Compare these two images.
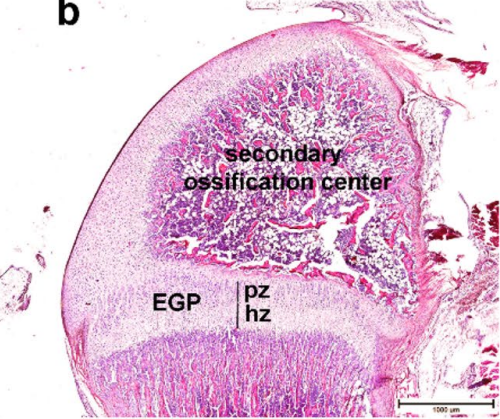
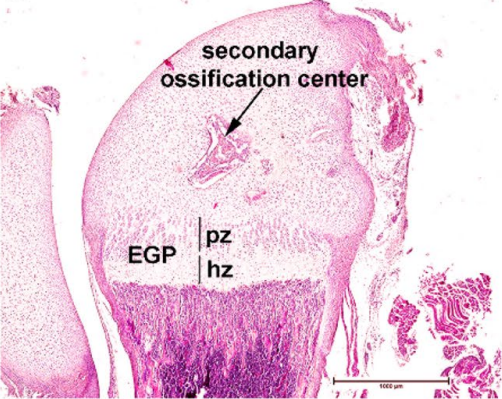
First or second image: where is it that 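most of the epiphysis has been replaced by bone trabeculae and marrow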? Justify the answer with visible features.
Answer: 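First image: a large purple and red area of trabeculae and marrow fills most of the epiphysis. Second image: the epiphysis is pale cartilage with only a small irregular focus in the middle. The answer: the first image.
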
